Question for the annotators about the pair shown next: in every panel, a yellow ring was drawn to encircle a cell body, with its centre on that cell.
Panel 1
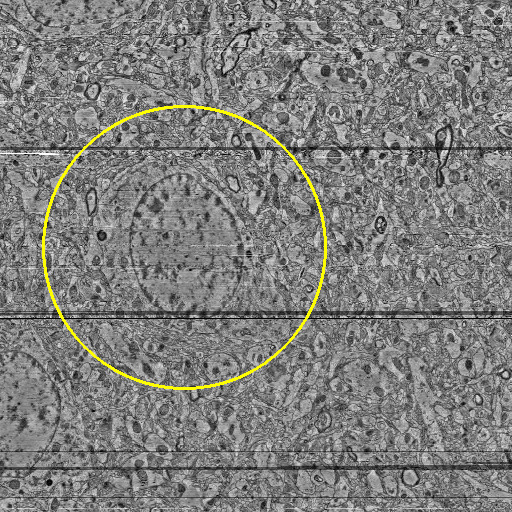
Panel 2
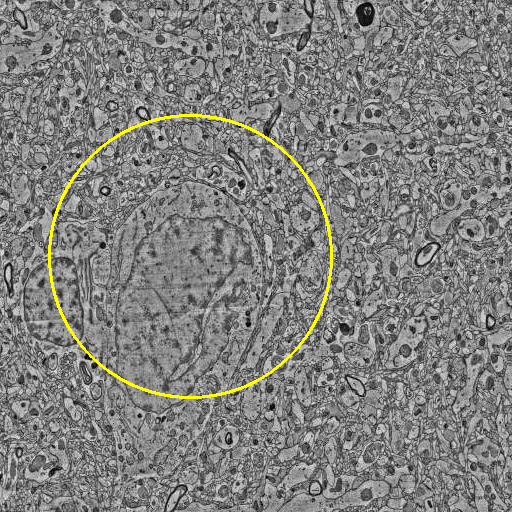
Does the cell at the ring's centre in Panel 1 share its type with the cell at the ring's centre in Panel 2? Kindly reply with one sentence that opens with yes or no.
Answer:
No, in Panels 1 and 2 the cells at the ring centres belong to separate types.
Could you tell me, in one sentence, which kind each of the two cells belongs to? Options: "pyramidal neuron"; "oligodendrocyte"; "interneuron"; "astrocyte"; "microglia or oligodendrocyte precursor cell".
At the centre of the first ring sits a pyramidal neuron, and at the centre of the second sits an interneuron.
